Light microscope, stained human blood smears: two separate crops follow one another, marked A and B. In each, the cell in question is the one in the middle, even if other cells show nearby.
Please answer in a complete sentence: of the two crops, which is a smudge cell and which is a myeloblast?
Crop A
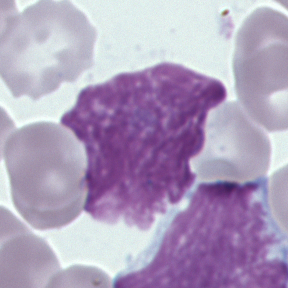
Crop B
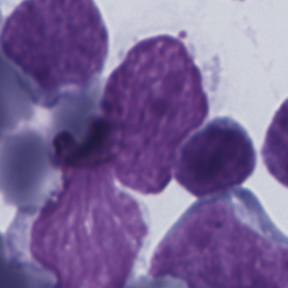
The middle cell in crop A is a smudge cell; the middle cell in crop B is a myeloblast.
